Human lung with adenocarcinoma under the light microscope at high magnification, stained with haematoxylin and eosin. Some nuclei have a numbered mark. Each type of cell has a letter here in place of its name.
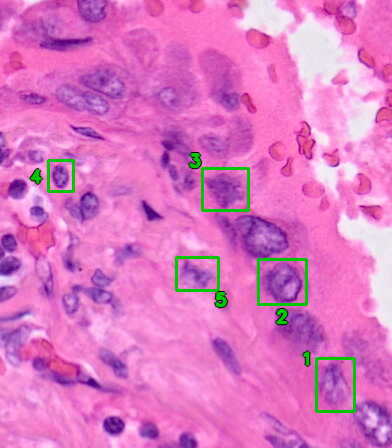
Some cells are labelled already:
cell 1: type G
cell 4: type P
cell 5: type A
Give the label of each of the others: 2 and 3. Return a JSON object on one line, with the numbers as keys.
{"2": "type G", "3": "type G"}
